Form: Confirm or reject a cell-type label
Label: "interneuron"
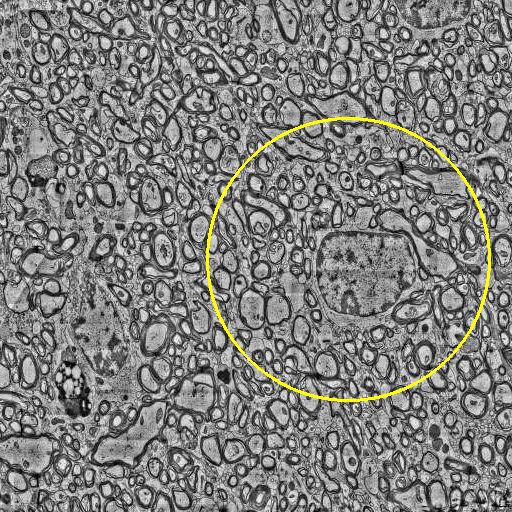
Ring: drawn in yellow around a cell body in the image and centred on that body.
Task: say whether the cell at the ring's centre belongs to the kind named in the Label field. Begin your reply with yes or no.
No, it belongs to another kind.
